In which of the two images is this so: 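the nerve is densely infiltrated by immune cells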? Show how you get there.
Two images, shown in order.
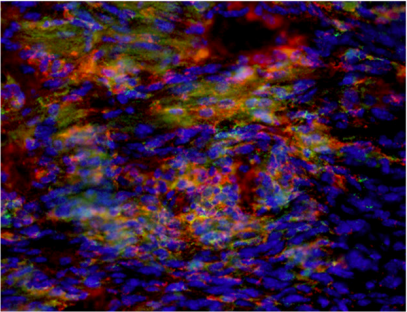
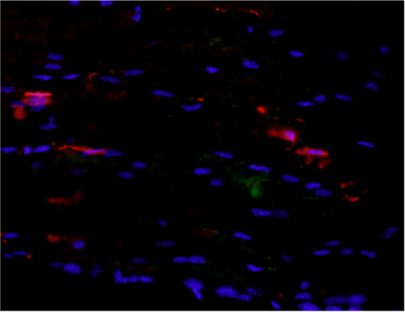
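First image: the field is crowded with red, green and yellow cells and many nuclei. Second image: only a few isolated red cells lie among sparse nuclei on a dark background.
Conclusion: the first image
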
